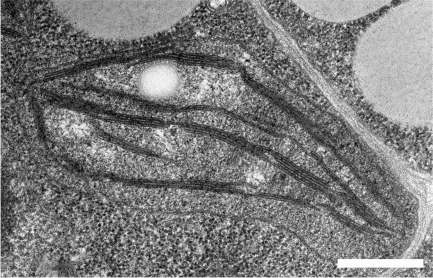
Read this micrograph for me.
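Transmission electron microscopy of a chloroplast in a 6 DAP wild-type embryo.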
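A rounded pale, electron-light inclusion lies in its upper part. The surrounding cytoplasm is finely granular and dense with ribosome-like particles. A cell wall runs along the right edge, and large pale, rounded bodies of uniform texture lie at the upper corners of the field.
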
